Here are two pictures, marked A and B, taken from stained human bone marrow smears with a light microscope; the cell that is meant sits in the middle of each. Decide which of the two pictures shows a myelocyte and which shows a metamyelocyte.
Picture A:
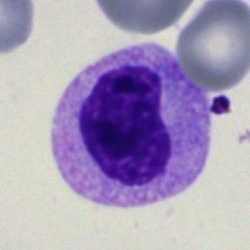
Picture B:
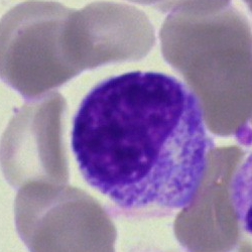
A: metamyelocyte
B: myelocyte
